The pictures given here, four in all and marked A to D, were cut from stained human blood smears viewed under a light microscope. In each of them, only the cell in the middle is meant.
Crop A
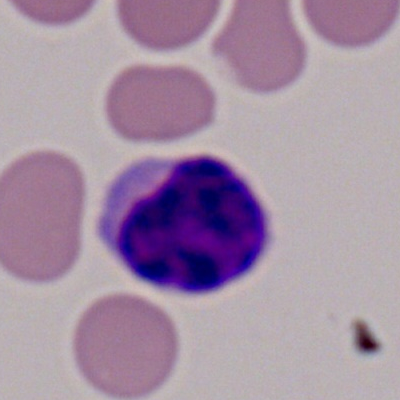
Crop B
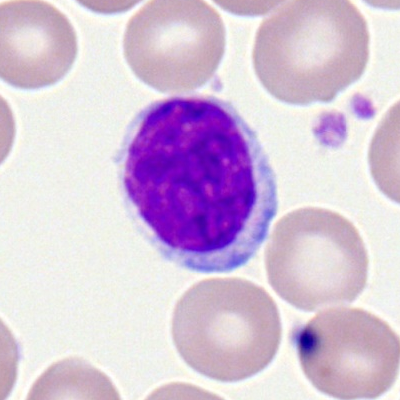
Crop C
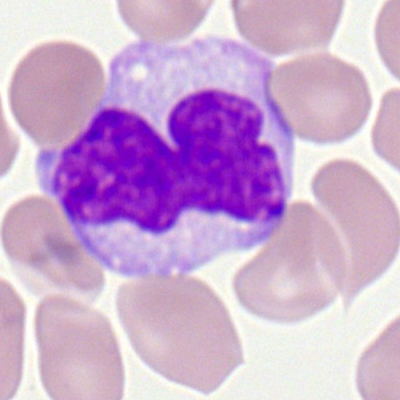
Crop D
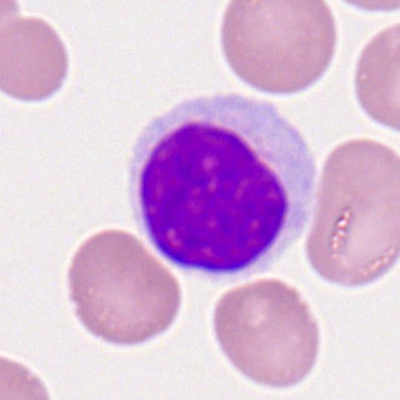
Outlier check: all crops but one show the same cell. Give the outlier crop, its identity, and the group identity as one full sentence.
All crops show lymphocytes except crop C, which is a monocyte.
